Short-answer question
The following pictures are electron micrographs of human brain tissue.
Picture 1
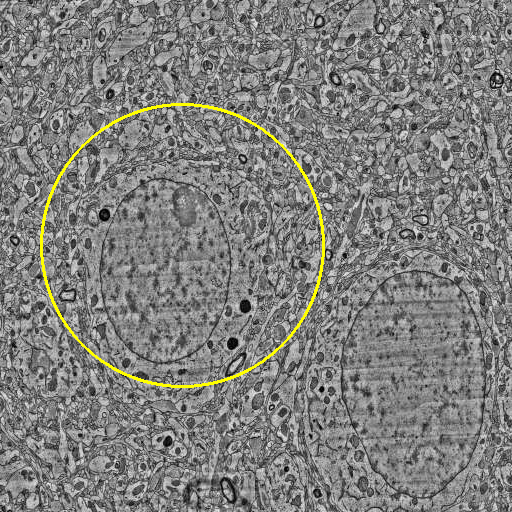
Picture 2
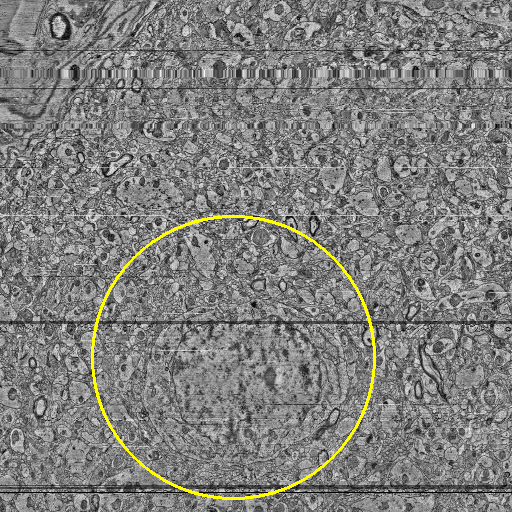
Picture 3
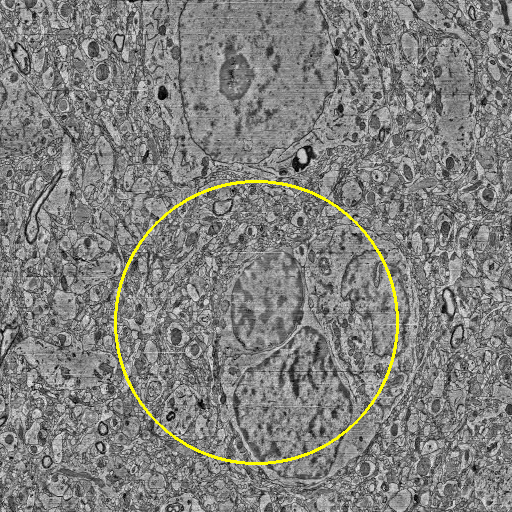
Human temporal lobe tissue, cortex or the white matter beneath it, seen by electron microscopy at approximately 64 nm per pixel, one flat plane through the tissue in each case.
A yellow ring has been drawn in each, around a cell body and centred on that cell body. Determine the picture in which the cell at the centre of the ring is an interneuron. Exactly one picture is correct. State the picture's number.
2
